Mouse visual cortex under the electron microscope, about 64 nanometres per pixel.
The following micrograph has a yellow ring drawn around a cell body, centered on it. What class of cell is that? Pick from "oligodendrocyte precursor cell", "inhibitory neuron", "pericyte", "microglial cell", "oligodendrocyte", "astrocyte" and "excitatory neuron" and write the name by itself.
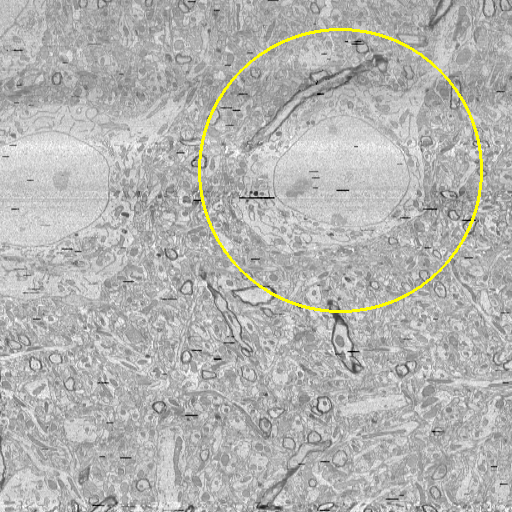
excitatory neuron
